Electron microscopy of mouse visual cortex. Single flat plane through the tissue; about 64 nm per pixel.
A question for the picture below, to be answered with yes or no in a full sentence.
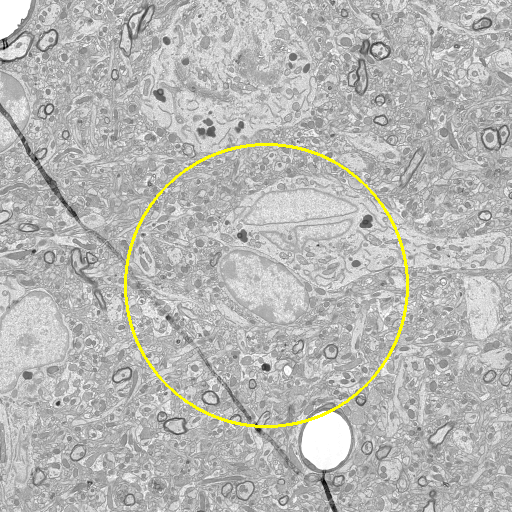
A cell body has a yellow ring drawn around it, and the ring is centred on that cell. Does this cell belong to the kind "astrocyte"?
No, the pictured cell at the ring's centre belongs to another kind.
